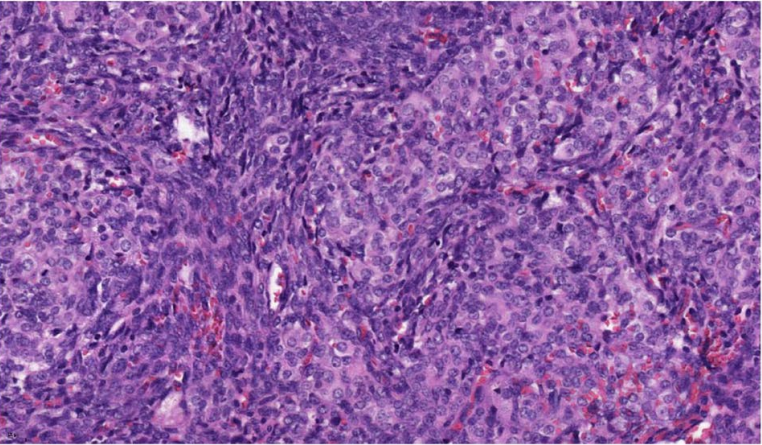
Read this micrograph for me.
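The nest cells are polygonal, with moderate pale pink cytoplasm and round to oval nuclei that often have visible nucleoli. Between the nests run narrow bands of darker, elongated spindle cells accompanied by small, thin-walled vessels containing red blood cells. The overall architecture is densely cellular, with the nests merging into one another.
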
